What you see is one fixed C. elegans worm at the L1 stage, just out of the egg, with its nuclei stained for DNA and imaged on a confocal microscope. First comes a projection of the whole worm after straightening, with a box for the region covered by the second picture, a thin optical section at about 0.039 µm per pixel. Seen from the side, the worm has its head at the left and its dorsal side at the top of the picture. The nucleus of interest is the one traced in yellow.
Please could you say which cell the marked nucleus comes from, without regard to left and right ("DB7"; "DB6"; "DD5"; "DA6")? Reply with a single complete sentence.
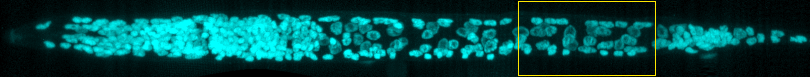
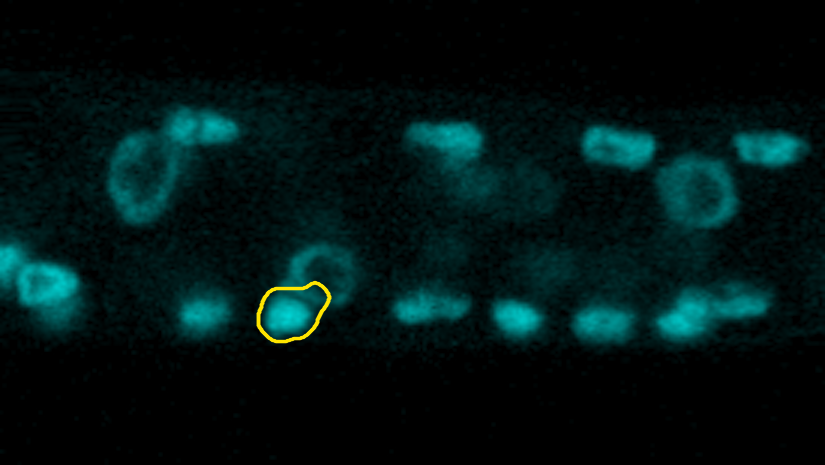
This is the nucleus of DA6, a neuron.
